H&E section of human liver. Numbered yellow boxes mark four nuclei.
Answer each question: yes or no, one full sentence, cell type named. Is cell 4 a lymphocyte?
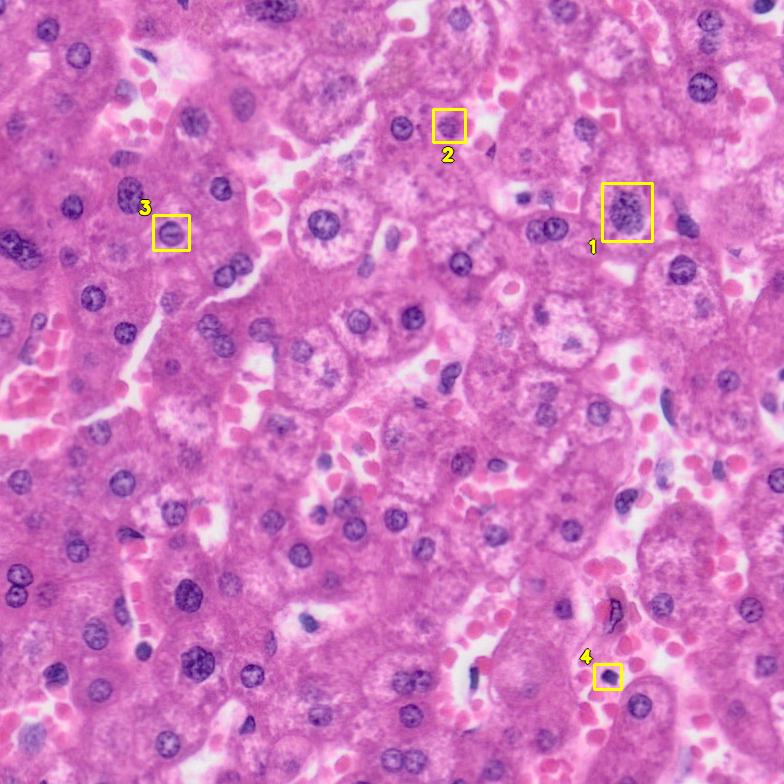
Yes, the cell distinguished by number 4 is a lymphocyte.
